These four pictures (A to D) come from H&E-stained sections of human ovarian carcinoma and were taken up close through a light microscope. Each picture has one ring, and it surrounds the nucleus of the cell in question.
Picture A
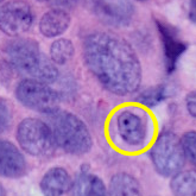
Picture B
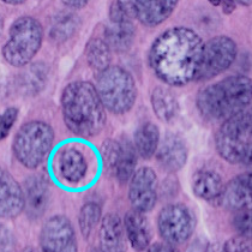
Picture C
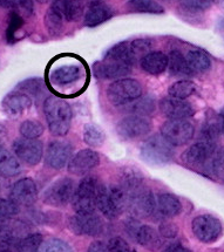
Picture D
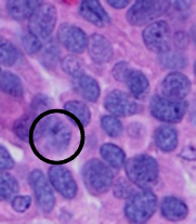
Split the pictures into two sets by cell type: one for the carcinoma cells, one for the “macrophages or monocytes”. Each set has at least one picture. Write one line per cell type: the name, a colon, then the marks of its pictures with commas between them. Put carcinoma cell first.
carcinoma cell: D
macrophage or monocyte: A, B, C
